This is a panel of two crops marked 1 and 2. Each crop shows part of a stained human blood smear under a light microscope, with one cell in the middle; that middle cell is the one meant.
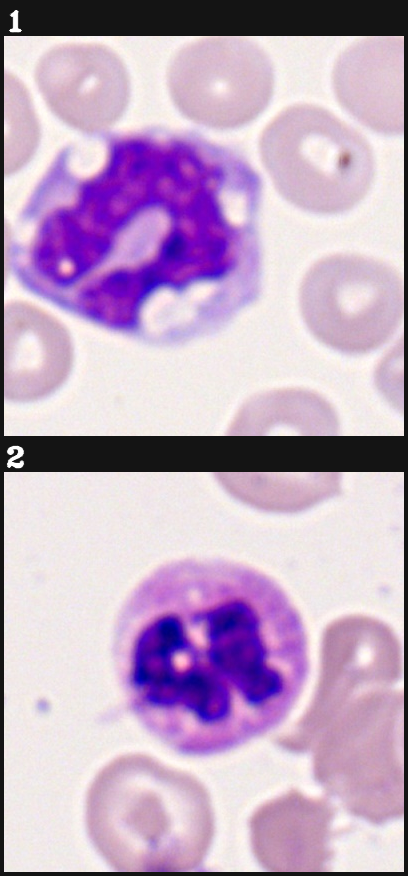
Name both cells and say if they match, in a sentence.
No, crop 2 centres on a segmented neutrophil, and crop 1 centres on a monocyte.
